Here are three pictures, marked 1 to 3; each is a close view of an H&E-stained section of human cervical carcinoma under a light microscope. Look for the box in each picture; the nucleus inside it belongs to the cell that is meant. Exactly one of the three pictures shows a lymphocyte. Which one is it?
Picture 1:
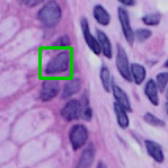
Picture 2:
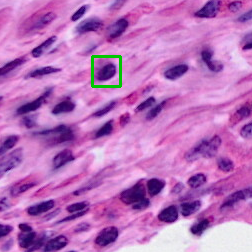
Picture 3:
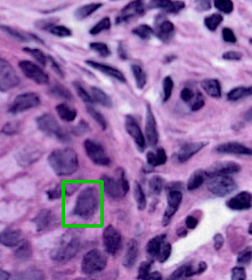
2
